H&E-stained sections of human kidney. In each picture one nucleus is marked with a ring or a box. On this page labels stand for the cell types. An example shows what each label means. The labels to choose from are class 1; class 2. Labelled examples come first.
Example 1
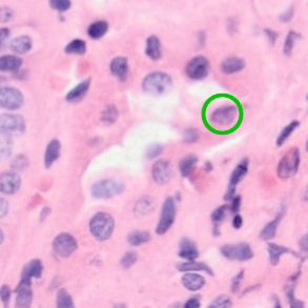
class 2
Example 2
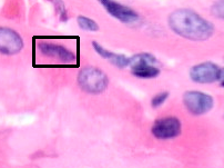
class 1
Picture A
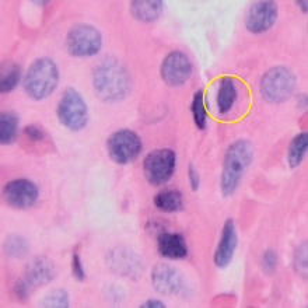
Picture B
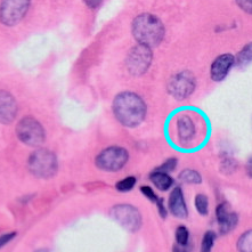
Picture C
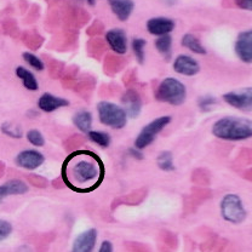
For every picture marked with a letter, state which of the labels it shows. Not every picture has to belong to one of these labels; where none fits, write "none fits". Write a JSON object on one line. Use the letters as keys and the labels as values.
{"A": "class 2", "B": "class 2", "C": "none fits"}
